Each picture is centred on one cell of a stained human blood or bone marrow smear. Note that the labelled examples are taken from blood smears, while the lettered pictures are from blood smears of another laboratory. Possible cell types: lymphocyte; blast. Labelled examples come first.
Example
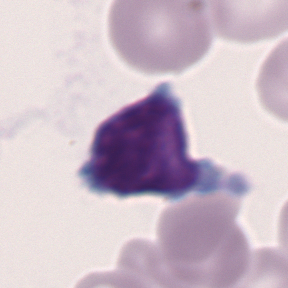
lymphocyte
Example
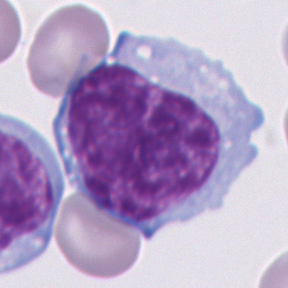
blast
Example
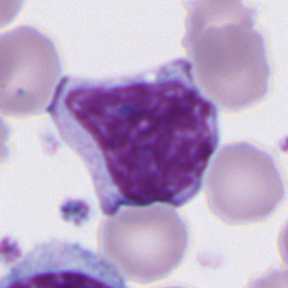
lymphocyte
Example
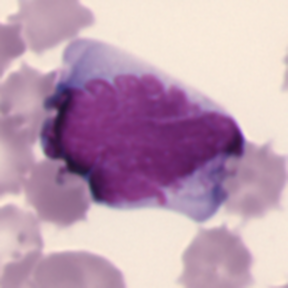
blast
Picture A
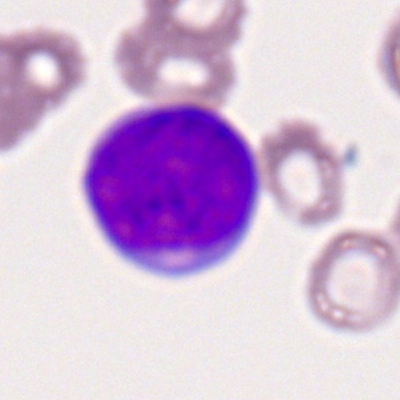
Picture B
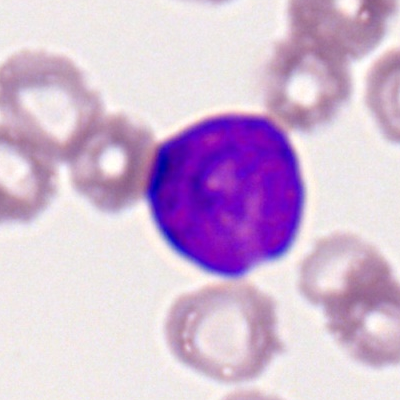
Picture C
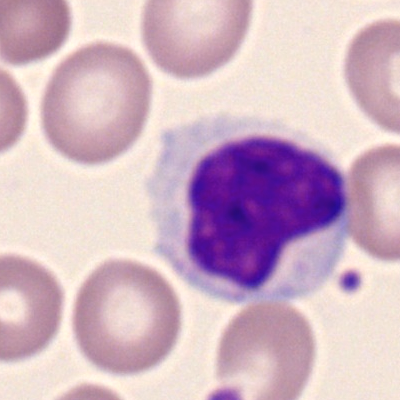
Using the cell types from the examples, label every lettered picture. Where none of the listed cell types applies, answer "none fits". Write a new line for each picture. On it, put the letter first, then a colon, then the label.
A: blast
B: blast
C: lymphocyte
